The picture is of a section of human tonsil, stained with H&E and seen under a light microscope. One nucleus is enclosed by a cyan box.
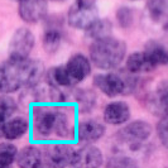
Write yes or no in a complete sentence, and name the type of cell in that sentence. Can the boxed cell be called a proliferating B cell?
Yes, to name the boxed cell a proliferating B cell is correct.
